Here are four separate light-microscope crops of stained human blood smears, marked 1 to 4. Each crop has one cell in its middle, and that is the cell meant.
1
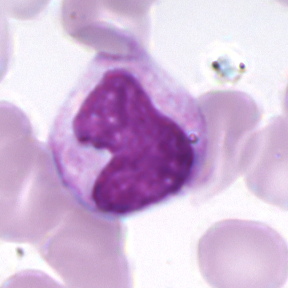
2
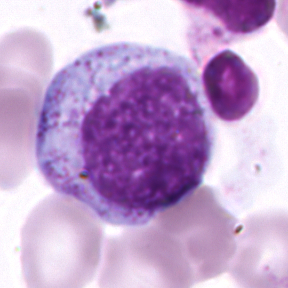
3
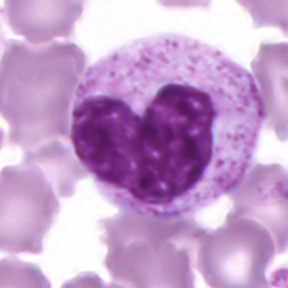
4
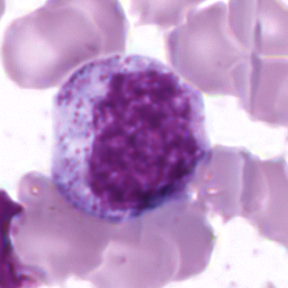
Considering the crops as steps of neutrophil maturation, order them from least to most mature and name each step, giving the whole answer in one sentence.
In sequence of increasing maturity, the order is crop 2 (a promyelocyte), crop 4 (a myelocyte), crop 3 (a metamyelocyte) and crop 1 (a band neutrophil).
